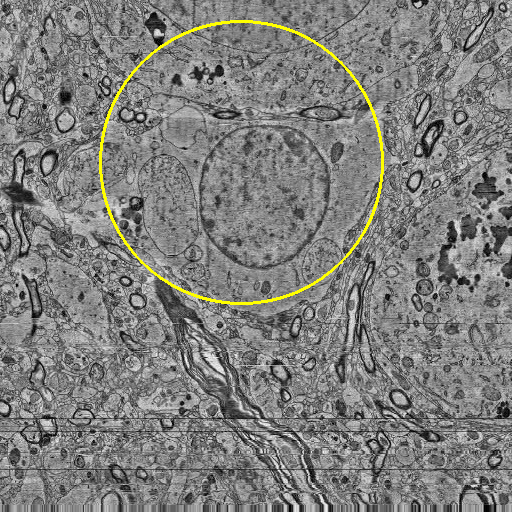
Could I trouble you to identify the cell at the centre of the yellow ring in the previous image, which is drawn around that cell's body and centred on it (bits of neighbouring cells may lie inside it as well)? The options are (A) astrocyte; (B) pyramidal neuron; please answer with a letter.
A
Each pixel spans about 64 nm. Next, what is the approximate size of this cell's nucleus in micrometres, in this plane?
The nucleus measures about 9 micrometers across in this plane.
